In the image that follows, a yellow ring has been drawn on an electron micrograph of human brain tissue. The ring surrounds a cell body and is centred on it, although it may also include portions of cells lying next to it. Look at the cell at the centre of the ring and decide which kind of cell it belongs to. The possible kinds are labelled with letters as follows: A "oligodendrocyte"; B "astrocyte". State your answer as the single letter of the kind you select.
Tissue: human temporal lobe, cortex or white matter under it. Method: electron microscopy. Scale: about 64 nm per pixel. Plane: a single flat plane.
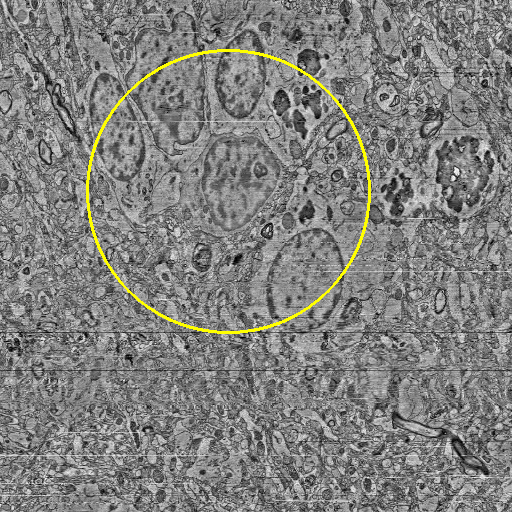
A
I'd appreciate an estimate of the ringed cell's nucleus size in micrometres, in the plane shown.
The nucleus of the ringed cell is approximately 6 by 5 micrometres in this plane.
